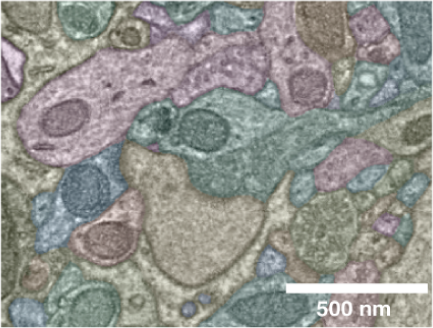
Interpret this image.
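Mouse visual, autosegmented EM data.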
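This electron micrograph shows densely packed neural tissue of cortex, with many cut processes of neurons filling the field edge to edge. The profiles range from small round ones to larger elongated or irregular shapes. Several profiles contain oval mitochondria whose inner folds show as fine dark lines. Almost no space is left between the profiles, as is typical of neuropil.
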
